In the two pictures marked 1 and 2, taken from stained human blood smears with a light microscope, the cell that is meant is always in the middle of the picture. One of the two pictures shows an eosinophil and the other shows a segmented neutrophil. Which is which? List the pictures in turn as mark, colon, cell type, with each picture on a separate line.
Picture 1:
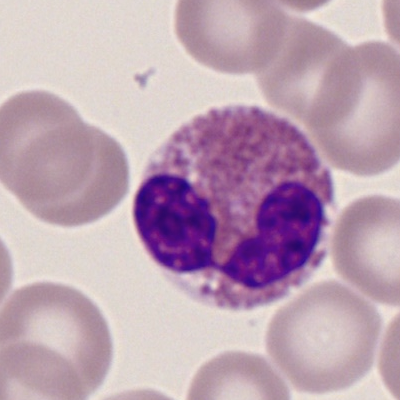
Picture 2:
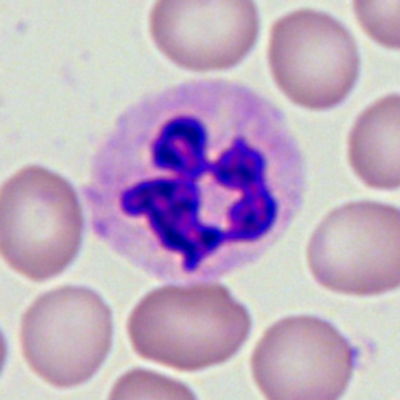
1: eosinophil
2: segmented neutrophil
